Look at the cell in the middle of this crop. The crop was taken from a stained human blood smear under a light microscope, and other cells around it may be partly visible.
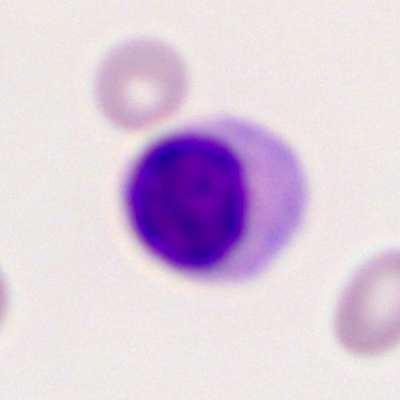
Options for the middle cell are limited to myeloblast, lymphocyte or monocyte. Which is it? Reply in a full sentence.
What the crop centres on is a lymphocyte.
